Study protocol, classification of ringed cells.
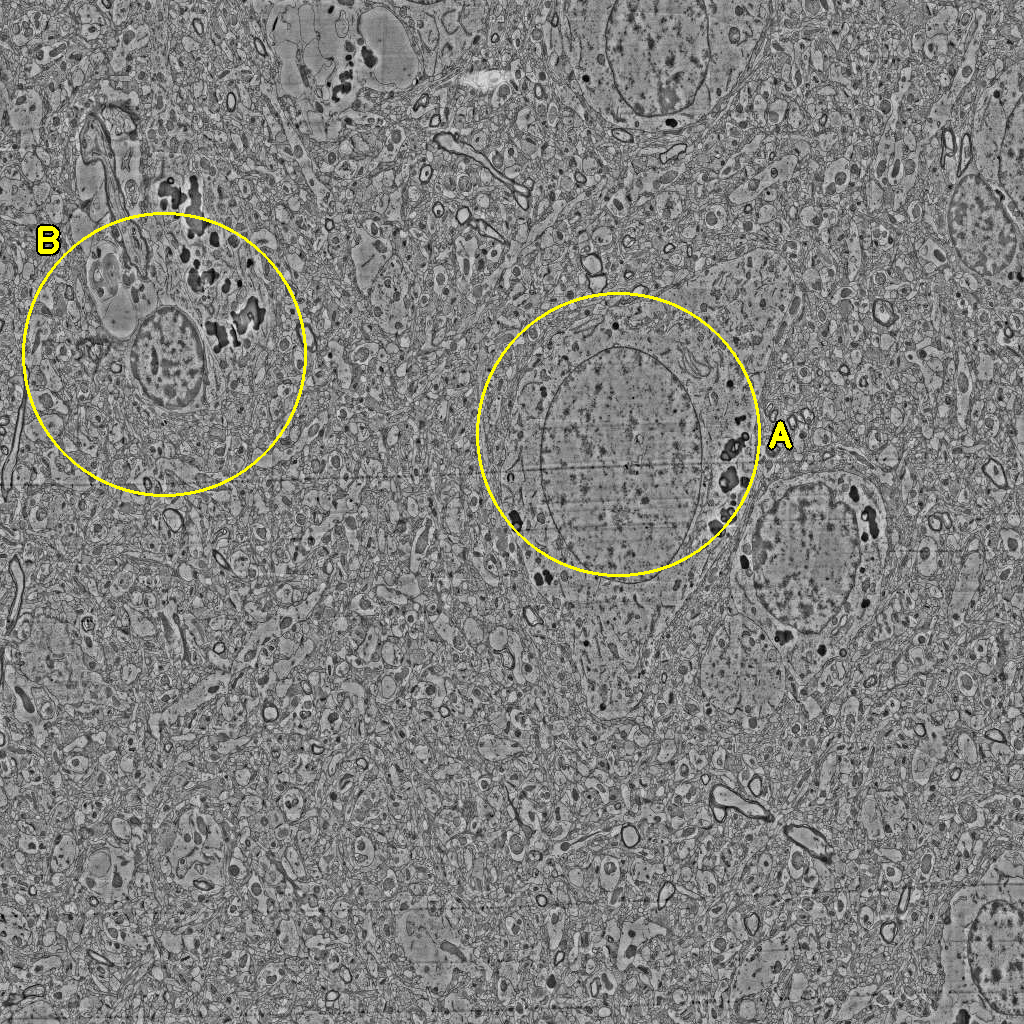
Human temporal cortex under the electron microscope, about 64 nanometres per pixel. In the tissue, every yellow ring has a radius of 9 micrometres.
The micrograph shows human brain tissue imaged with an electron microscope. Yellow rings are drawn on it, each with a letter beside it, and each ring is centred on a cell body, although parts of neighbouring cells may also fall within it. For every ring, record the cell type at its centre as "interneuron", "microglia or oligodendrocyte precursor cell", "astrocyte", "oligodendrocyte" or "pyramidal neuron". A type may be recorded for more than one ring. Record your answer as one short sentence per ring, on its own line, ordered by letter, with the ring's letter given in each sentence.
Ring A has been centred on a pyramidal neuron.
Ring B has been centred on an oligodendrocyte.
